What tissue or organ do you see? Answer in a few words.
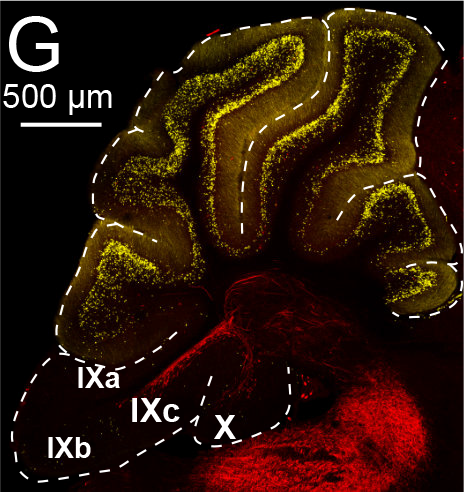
Cerebellum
